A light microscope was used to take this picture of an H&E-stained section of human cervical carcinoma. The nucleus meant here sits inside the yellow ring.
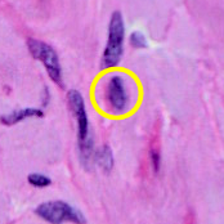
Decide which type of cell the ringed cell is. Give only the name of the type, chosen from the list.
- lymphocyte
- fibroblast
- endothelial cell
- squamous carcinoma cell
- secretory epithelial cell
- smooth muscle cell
fibroblast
